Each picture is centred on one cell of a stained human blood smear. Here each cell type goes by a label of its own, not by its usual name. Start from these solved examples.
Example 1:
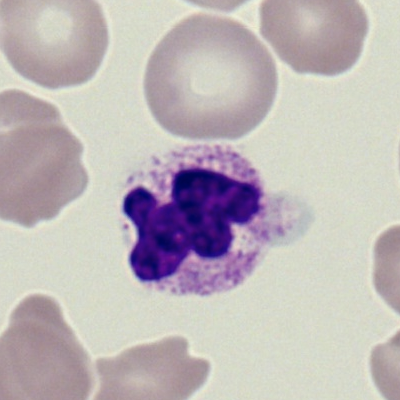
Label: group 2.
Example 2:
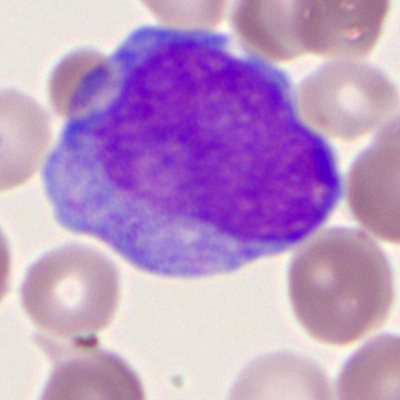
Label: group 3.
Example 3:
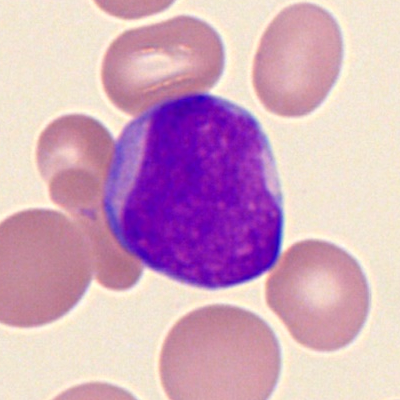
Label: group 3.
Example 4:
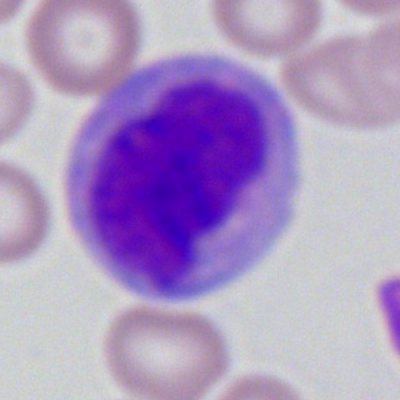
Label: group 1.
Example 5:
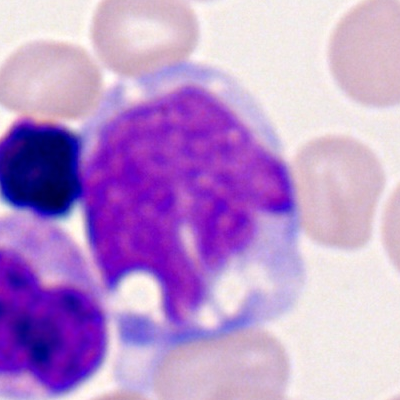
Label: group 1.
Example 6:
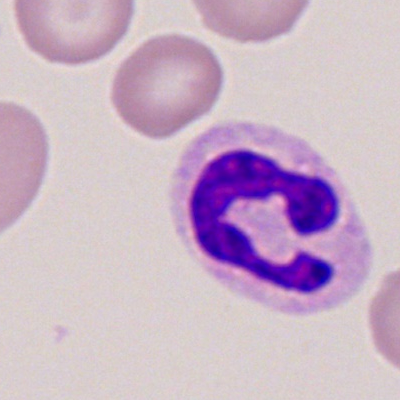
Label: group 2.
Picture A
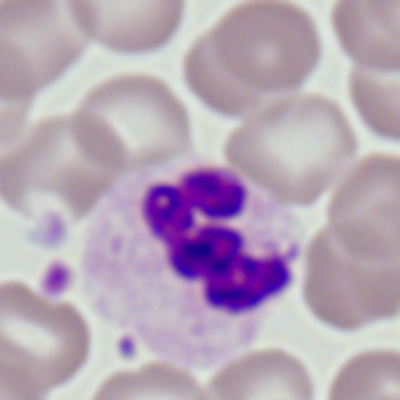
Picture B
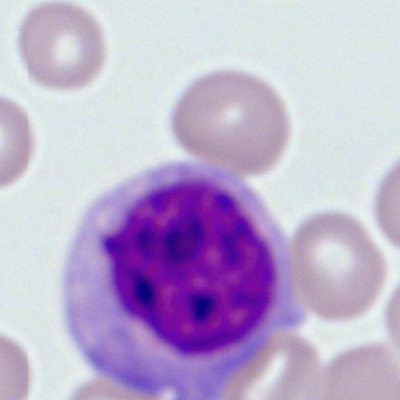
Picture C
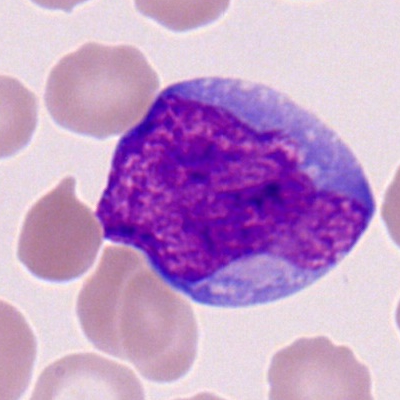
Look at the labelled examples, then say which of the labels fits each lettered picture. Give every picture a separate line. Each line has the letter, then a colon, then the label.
A: group 2.
B: group 1.
C: group 3.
